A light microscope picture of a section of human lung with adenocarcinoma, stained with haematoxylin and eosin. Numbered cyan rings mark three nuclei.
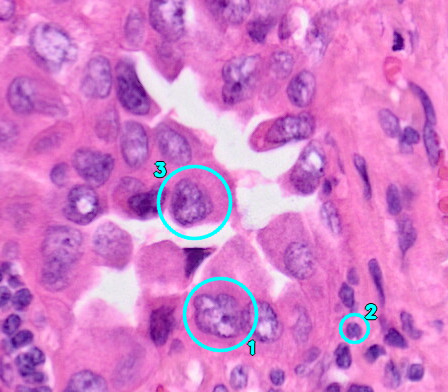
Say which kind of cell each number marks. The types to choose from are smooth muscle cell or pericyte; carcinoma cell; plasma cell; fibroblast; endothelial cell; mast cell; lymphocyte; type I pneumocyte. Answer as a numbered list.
1. carcinoma cell
2. lymphocyte
3. carcinoma cell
